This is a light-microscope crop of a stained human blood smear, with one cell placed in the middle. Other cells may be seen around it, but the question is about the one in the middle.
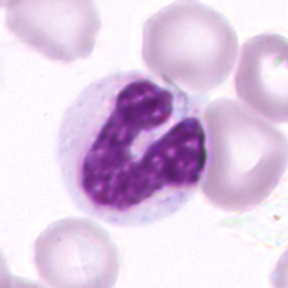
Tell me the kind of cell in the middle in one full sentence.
The middle position in this crop is taken by a band neutrophil.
